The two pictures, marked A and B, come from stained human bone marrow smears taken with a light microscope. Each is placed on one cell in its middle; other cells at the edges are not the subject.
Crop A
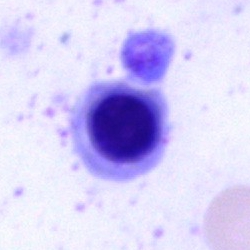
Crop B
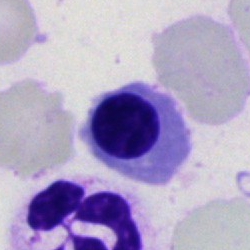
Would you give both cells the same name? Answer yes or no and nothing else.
yes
